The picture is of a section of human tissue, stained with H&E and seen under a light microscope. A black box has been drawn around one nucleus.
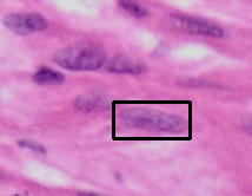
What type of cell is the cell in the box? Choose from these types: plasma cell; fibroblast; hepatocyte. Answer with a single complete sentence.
The identity of the cell in the box is that of a fibroblast.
